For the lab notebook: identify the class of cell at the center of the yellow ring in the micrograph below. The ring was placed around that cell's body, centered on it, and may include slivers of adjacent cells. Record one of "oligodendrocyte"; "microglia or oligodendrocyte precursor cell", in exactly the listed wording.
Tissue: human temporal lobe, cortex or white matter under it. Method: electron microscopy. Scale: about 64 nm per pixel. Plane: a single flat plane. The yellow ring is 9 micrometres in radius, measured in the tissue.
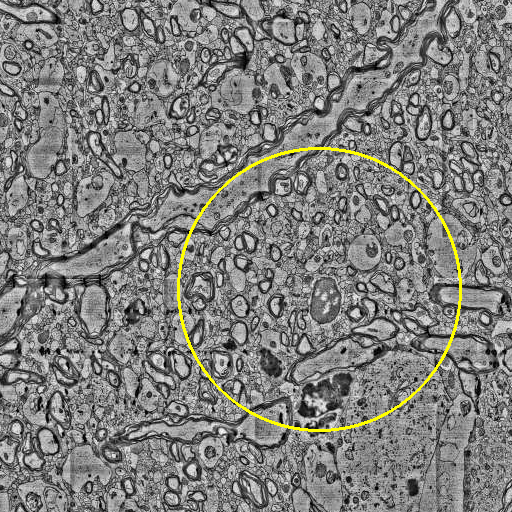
microglia or oligodendrocyte precursor cell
